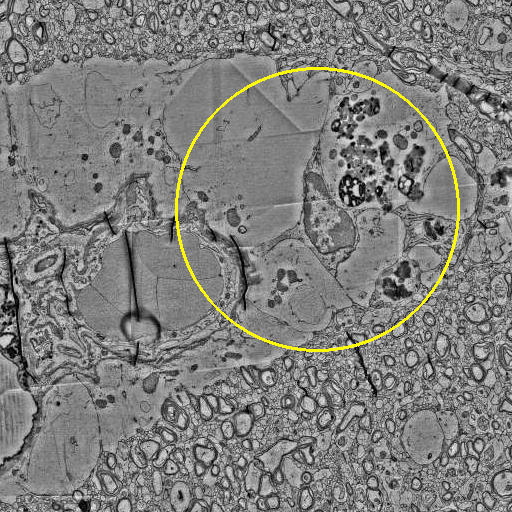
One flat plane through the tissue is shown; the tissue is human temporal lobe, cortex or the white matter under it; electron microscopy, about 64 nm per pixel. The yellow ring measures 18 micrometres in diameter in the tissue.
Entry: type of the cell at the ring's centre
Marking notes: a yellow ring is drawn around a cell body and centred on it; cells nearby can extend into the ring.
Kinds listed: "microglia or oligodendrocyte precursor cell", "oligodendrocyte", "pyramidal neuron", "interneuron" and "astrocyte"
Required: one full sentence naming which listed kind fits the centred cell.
My entry names a microglial cell or oligodendrocyte precursor cell as the cell whose body the yellow ring centres on.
